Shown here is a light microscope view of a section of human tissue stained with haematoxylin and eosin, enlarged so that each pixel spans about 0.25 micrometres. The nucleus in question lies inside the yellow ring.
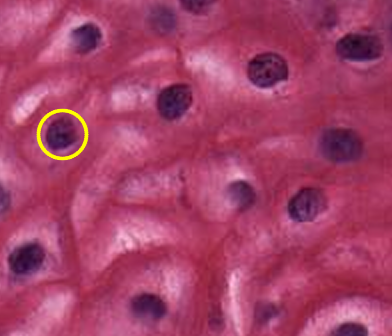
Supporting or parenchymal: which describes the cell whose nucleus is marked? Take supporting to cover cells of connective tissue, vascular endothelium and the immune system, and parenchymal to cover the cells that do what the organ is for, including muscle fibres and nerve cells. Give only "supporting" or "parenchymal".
parenchymal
